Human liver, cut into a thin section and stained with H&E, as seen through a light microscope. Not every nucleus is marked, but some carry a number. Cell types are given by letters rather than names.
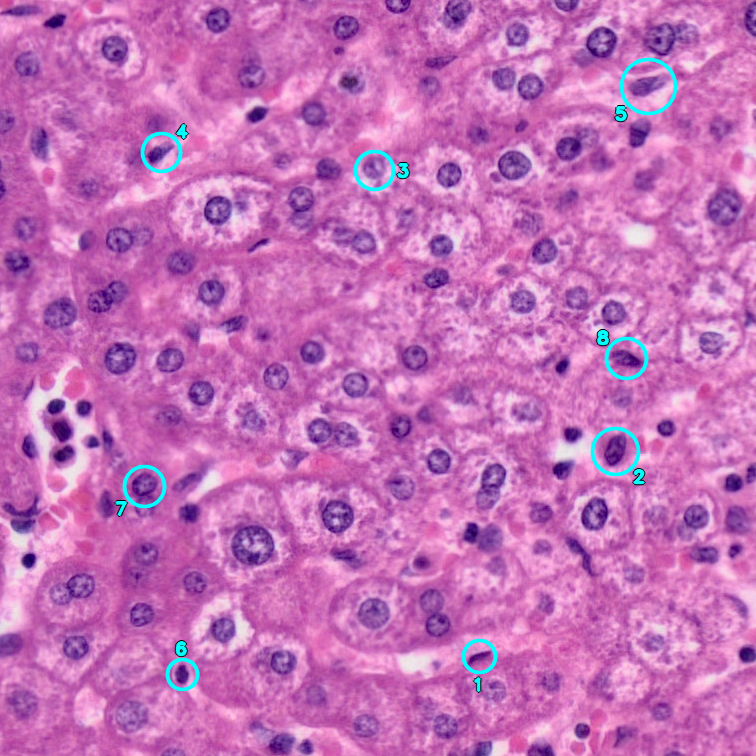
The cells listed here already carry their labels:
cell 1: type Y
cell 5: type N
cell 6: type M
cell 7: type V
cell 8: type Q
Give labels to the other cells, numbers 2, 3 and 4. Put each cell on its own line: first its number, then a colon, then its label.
2: type N
3: type V
4: type Q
